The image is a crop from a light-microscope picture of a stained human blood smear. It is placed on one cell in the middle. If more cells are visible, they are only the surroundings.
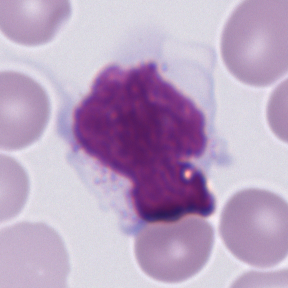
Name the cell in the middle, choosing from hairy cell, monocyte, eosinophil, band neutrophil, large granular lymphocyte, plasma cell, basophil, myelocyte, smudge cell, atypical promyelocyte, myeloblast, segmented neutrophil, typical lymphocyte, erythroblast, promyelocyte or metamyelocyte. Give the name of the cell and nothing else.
large granular lymphocyte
